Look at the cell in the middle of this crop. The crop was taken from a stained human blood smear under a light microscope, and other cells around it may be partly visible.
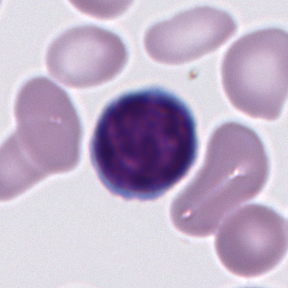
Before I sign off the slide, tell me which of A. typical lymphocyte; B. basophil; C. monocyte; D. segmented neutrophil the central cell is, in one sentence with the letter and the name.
Seen at the centre of the crop is a typical lymphocyte, so option A is correct.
